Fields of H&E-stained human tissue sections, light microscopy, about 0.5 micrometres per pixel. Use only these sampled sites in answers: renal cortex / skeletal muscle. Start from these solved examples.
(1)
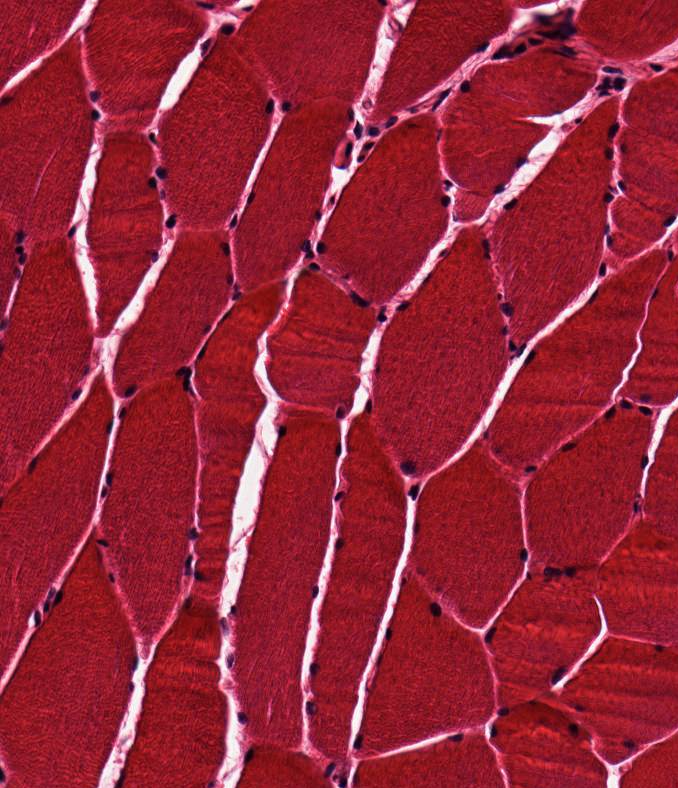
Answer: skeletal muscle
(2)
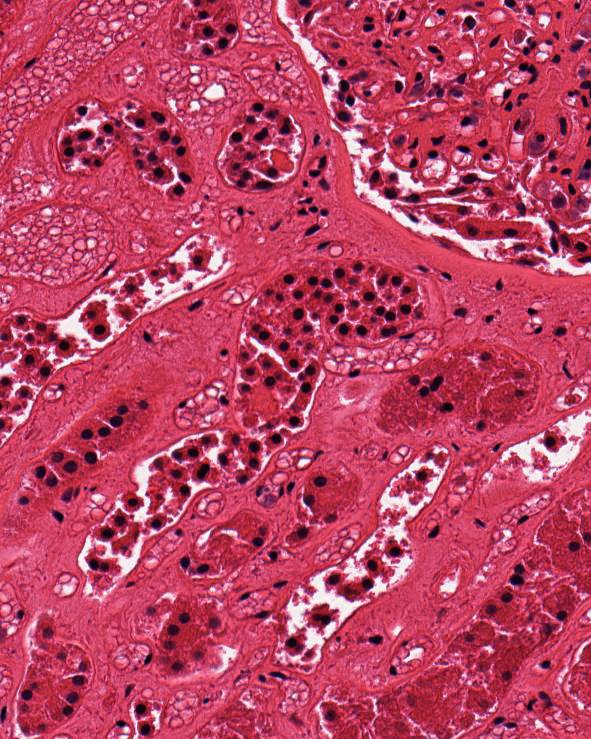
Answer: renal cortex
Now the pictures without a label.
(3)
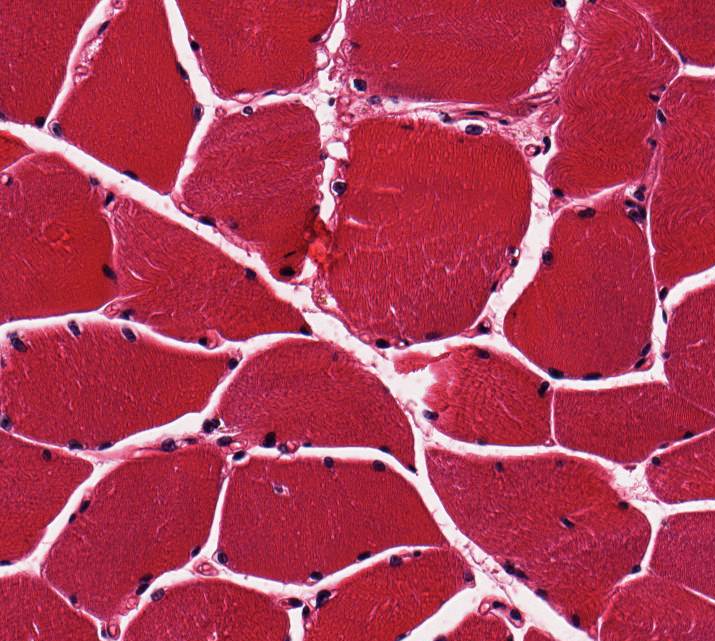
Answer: skeletal muscle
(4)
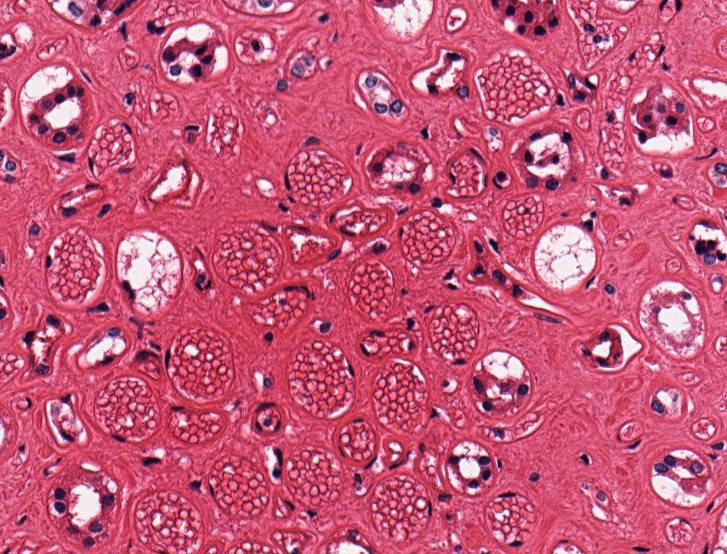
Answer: renal cortex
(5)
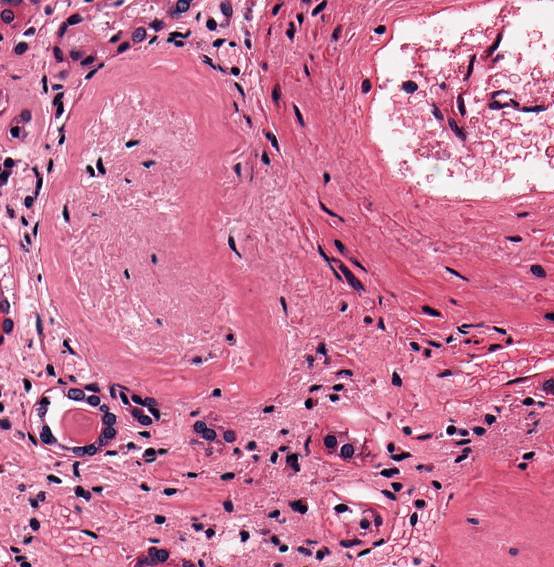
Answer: renal cortex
